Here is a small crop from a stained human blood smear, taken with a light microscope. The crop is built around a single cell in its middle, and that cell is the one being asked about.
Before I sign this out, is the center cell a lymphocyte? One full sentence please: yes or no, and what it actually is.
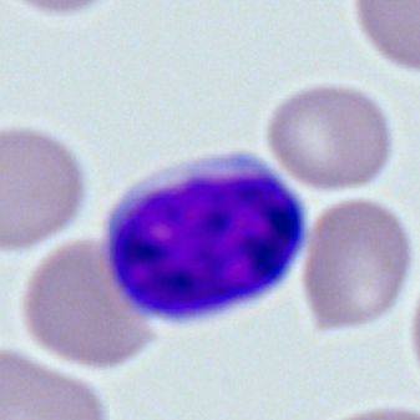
Yes, the cell located at the center is a lymphocyte.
